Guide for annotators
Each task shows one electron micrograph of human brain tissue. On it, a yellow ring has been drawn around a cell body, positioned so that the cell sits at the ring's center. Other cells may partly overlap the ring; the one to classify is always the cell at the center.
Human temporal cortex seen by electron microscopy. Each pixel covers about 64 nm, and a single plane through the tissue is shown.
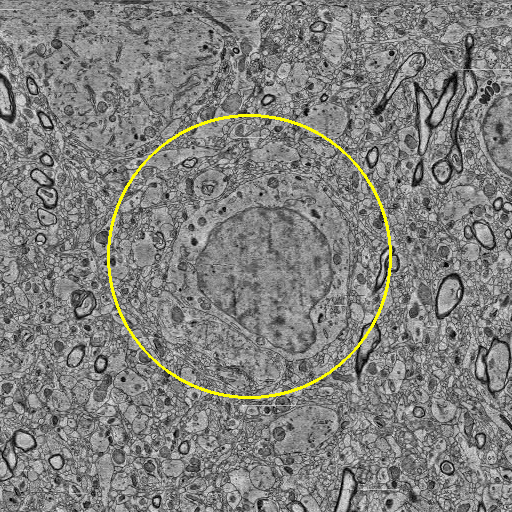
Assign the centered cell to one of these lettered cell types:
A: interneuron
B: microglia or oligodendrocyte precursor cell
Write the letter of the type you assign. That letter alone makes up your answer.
A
